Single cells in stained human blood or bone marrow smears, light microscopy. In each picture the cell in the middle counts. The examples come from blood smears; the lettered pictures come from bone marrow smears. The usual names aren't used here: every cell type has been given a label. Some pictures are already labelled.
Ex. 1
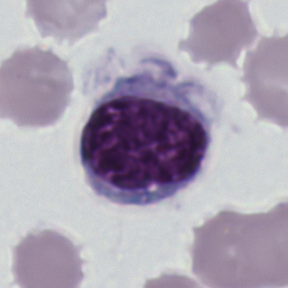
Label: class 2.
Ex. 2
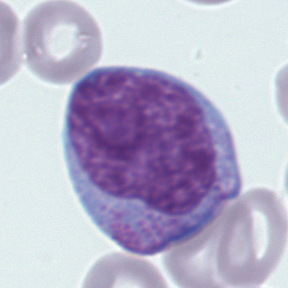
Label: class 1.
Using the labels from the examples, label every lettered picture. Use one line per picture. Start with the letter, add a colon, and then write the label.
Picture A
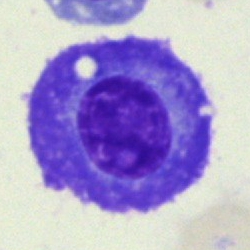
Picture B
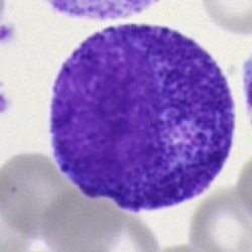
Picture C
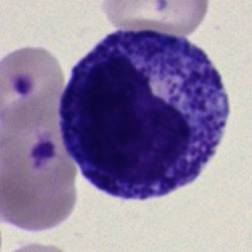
A: class 2.
B: class 1.
C: class 1.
